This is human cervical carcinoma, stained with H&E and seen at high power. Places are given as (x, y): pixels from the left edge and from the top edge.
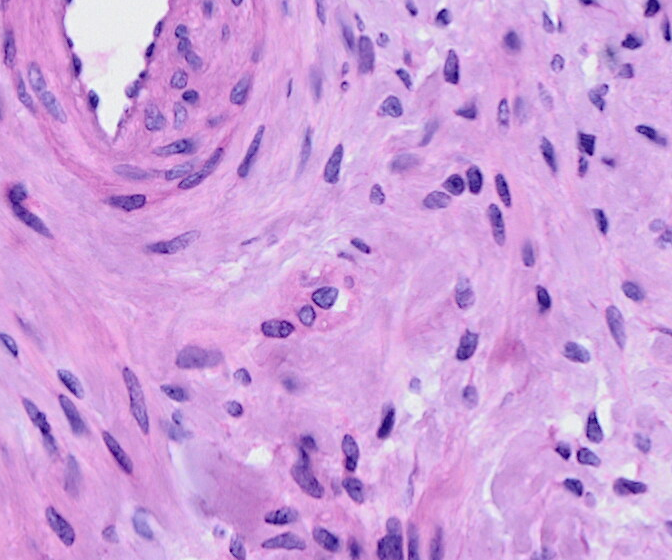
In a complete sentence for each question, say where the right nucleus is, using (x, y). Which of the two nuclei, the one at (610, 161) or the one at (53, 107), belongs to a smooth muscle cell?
The nucleus at (53, 107) is the one that belongs to a smooth muscle cell.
